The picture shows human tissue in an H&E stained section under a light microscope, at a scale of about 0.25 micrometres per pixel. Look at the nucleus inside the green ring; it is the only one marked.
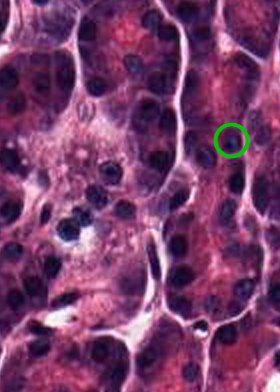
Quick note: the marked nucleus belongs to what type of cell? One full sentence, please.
The nucleus with the mark belongs to a pancreatic acinar cell.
